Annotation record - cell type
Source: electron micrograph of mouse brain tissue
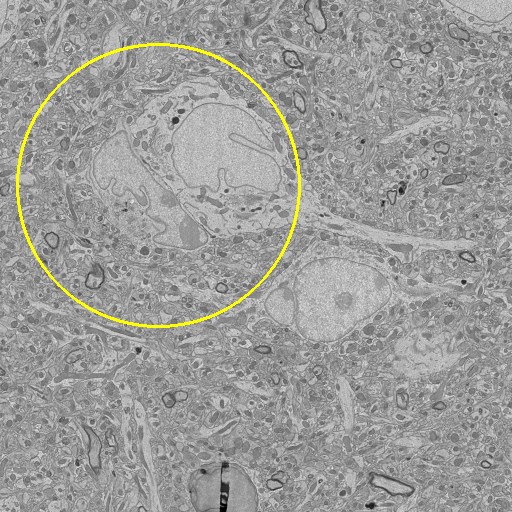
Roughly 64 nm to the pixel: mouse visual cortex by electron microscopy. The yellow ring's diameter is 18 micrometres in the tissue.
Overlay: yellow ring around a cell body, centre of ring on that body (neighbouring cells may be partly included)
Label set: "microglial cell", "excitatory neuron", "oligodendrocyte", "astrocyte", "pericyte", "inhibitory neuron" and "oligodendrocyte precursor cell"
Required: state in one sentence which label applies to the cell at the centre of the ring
This cell should be labelled as an oligodendrocyte precursor cell.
